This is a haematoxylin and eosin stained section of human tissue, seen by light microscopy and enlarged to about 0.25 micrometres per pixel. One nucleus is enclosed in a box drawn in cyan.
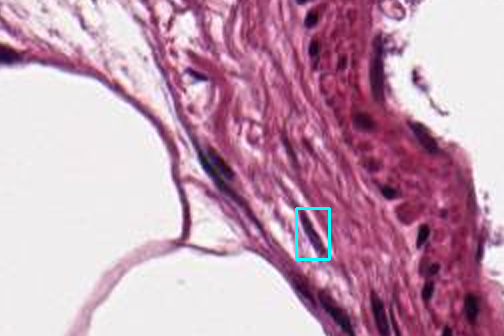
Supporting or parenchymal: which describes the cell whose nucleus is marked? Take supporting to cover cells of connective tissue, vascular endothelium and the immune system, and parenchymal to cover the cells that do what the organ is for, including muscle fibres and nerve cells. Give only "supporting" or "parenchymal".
supporting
